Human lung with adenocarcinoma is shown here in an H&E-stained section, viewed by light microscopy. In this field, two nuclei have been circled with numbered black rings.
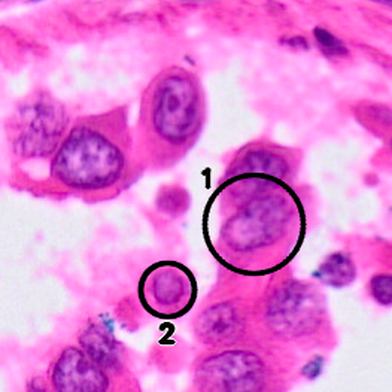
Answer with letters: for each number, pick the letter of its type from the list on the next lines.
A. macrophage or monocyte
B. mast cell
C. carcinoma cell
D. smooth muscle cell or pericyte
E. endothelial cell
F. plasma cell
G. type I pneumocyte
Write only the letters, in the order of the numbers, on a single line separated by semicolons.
C; A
